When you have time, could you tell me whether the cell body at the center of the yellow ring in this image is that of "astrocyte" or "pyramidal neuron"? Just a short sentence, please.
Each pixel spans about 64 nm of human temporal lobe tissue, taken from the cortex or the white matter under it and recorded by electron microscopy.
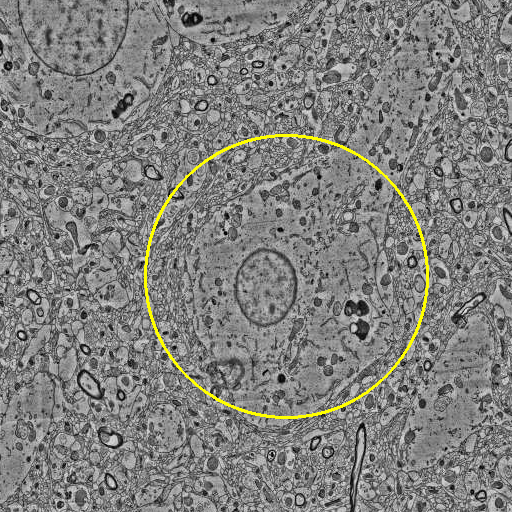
The cell body at the center of the ring is that of a pyramidal neuron.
